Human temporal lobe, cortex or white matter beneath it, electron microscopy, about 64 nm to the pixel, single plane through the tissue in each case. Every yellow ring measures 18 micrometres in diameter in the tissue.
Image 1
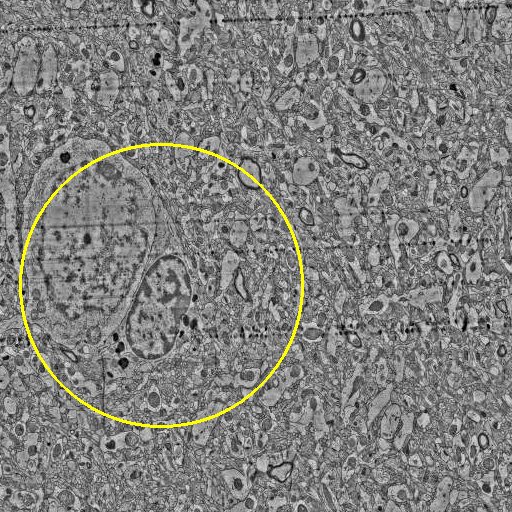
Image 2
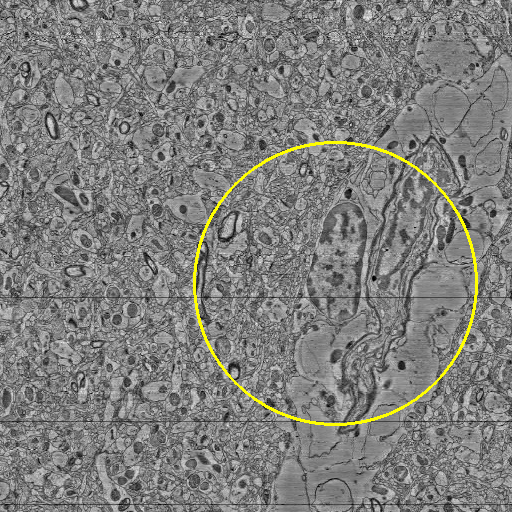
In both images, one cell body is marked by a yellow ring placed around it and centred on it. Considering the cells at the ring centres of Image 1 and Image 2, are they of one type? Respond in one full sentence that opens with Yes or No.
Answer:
Yes, a single type applies to the ring-centred cells of both Image 1 and Image 2.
